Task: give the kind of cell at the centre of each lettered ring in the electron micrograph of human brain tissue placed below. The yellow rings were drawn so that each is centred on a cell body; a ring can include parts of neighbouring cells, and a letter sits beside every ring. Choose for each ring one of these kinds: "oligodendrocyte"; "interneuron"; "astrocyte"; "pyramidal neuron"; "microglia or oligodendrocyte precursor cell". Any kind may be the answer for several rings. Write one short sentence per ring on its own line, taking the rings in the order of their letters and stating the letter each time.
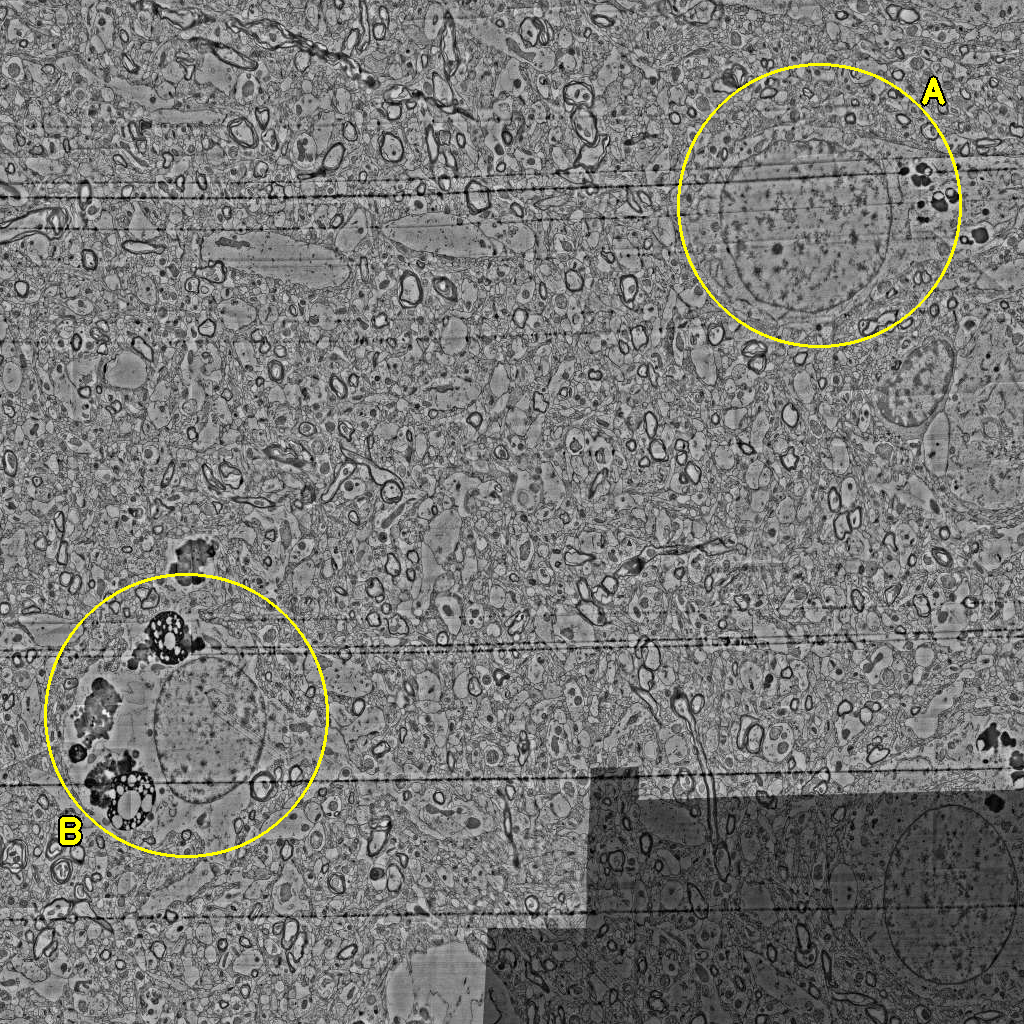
The yellow ring marked A surrounds a pyramidal neuron.
The yellow ring marked B surrounds an astrocyte.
